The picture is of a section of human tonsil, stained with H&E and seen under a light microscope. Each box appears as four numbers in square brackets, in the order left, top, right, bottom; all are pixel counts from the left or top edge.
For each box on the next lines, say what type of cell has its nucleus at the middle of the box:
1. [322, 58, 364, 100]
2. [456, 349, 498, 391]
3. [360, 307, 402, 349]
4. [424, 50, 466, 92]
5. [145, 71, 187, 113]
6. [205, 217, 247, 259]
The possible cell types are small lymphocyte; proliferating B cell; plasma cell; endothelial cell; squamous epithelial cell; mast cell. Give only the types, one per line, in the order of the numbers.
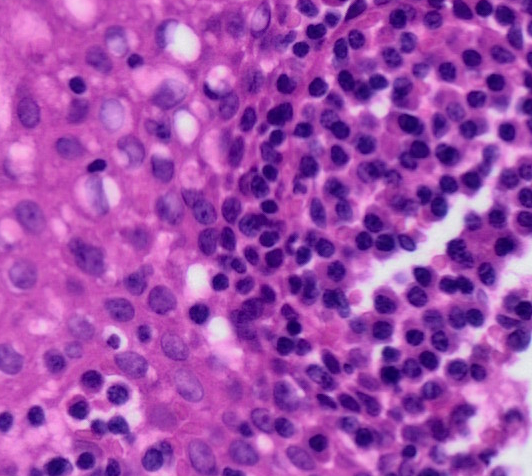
plasma cell
plasma cell
plasma cell
plasma cell
squamous epithelial cell
squamous epithelial cell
